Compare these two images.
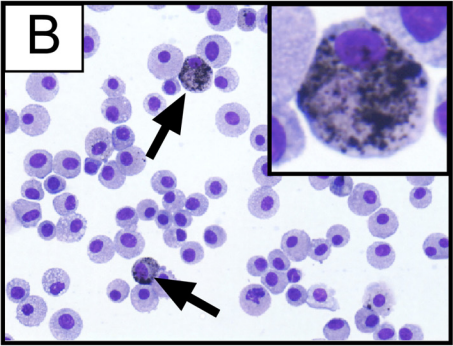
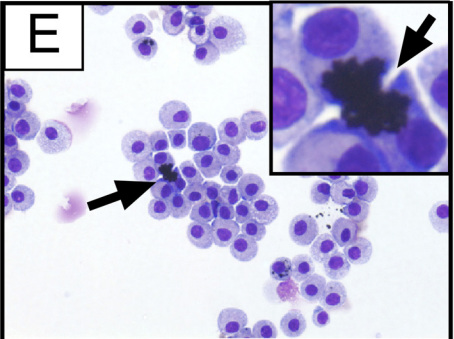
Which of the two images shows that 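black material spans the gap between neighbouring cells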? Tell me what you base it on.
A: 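Second image: a compact black clump lies between two touching cells. First image: black particles are scattered inside single separate cells. So: the second image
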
